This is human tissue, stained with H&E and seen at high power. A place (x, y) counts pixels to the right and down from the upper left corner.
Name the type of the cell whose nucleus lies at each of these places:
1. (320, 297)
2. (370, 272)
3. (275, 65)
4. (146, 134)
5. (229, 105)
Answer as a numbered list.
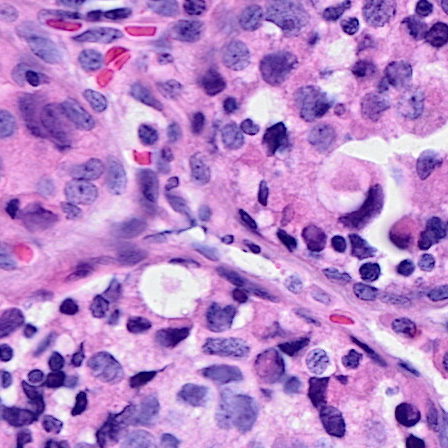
1. endothelial cell
2. lymphocyte
3. carcinoma cell
4. mast cell
5. lymphocyte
